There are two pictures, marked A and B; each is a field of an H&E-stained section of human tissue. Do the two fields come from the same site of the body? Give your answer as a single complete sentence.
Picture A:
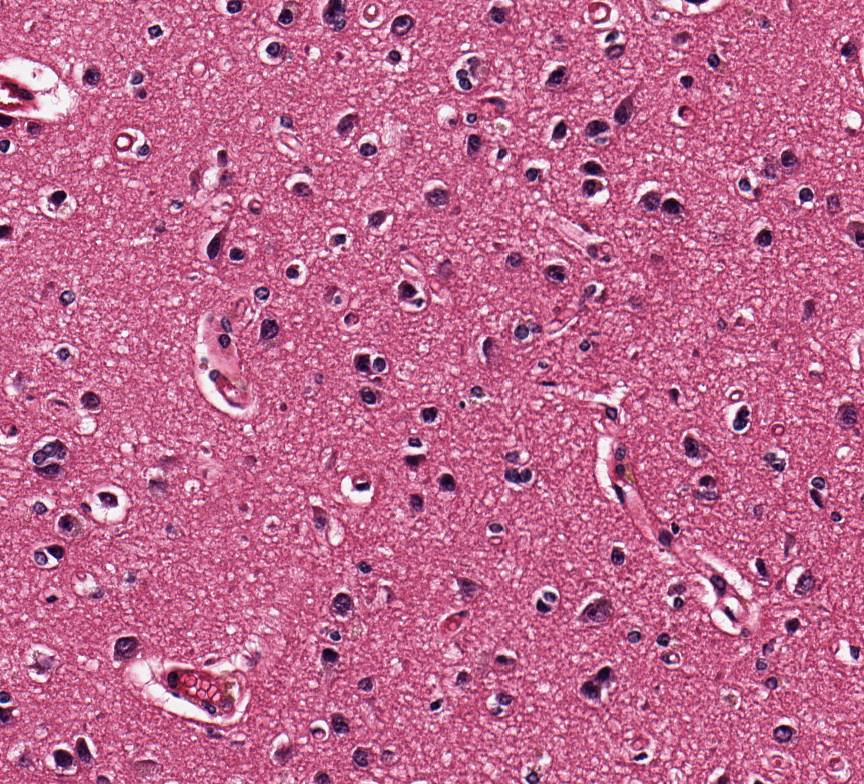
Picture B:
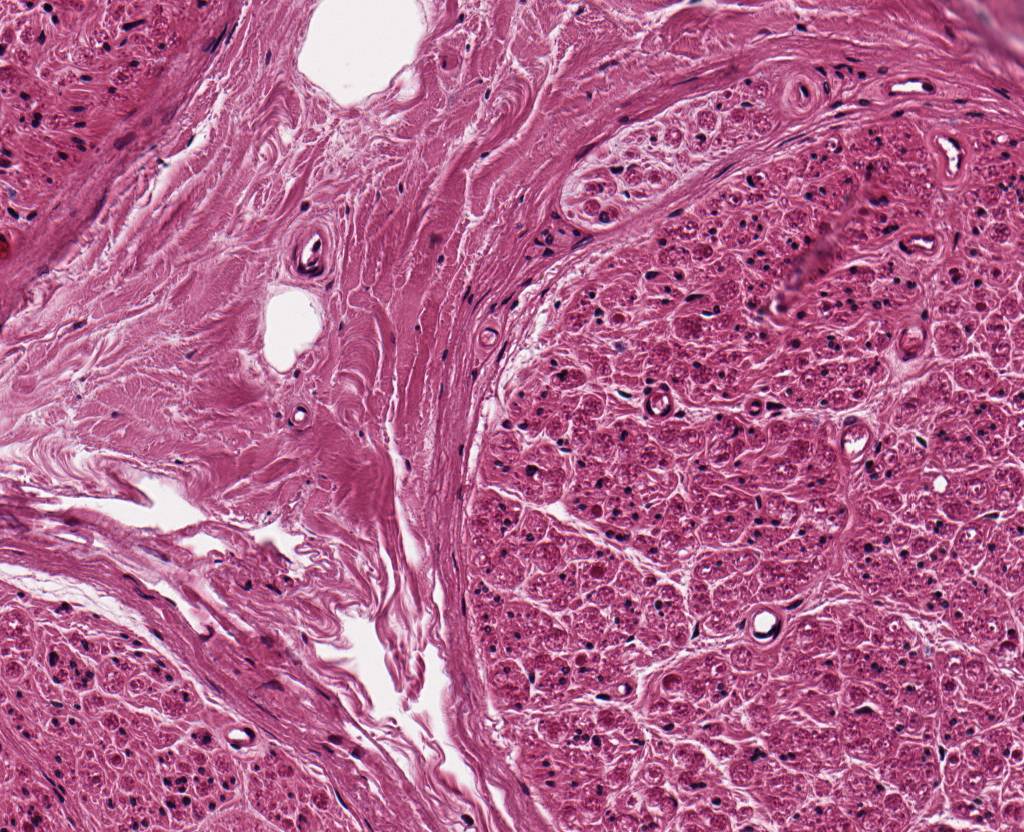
No. Picture A comes from the cerebral cortex, whereas picture B comes from the tibial nerve.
